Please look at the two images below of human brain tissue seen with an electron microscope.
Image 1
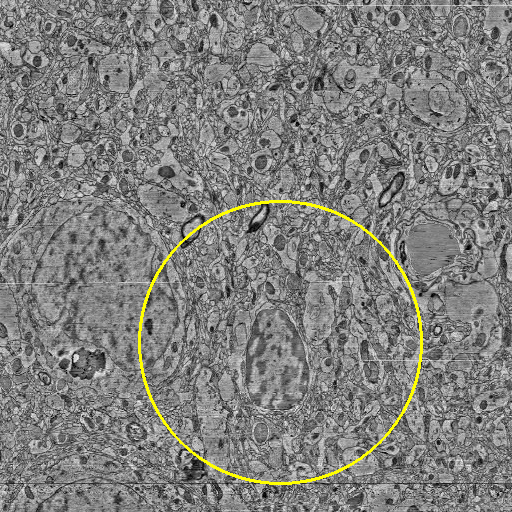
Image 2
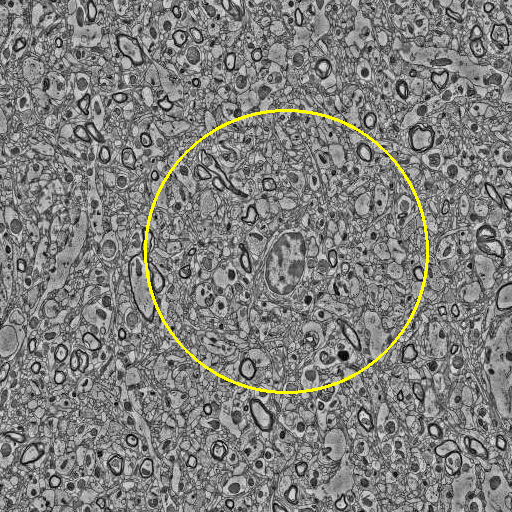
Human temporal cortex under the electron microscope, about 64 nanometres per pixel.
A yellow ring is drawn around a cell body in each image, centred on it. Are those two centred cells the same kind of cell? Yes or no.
yes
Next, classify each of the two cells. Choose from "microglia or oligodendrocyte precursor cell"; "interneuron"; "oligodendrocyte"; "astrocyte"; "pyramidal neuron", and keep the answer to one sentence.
The cell at the ring centre is a microglial cell or oligodendrocyte precursor cell in both pictures.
